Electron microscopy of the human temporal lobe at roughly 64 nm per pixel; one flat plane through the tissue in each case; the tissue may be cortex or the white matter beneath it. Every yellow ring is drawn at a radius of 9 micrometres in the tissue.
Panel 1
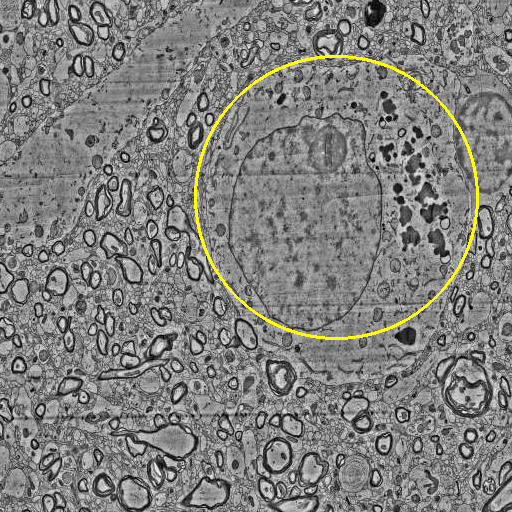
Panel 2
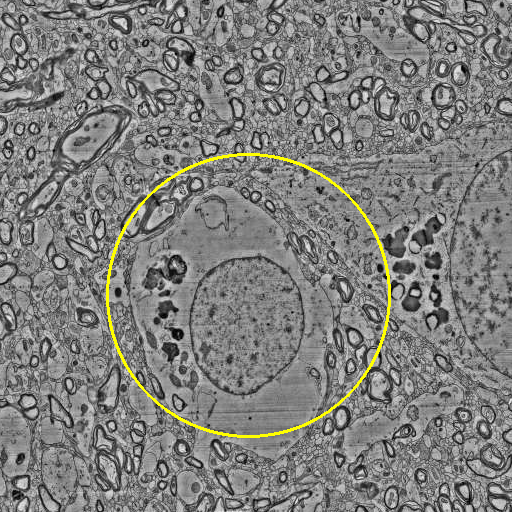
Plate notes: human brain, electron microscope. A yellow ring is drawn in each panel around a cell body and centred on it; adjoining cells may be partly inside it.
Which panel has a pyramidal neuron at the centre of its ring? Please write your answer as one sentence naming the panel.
The ring in Panel 1 is centred on such a cell.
